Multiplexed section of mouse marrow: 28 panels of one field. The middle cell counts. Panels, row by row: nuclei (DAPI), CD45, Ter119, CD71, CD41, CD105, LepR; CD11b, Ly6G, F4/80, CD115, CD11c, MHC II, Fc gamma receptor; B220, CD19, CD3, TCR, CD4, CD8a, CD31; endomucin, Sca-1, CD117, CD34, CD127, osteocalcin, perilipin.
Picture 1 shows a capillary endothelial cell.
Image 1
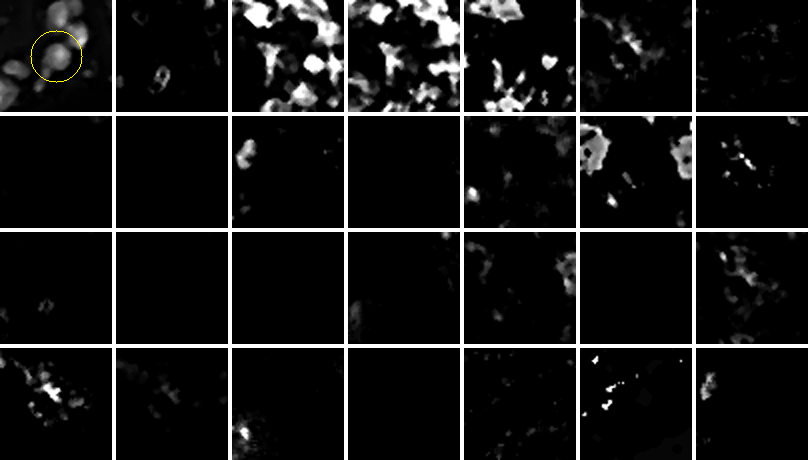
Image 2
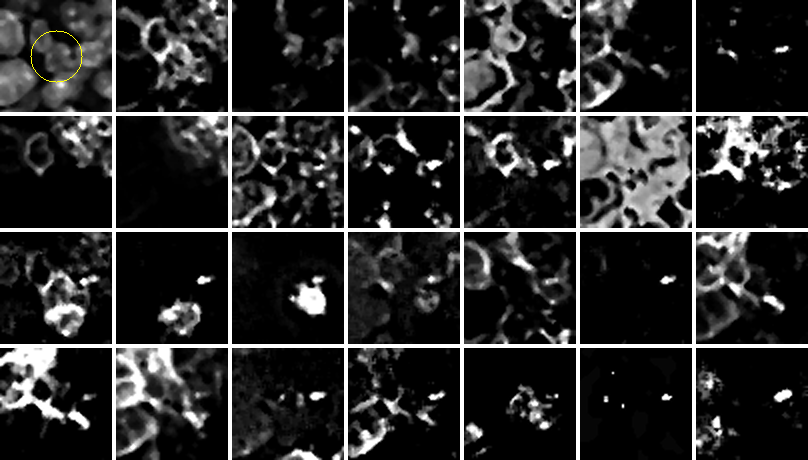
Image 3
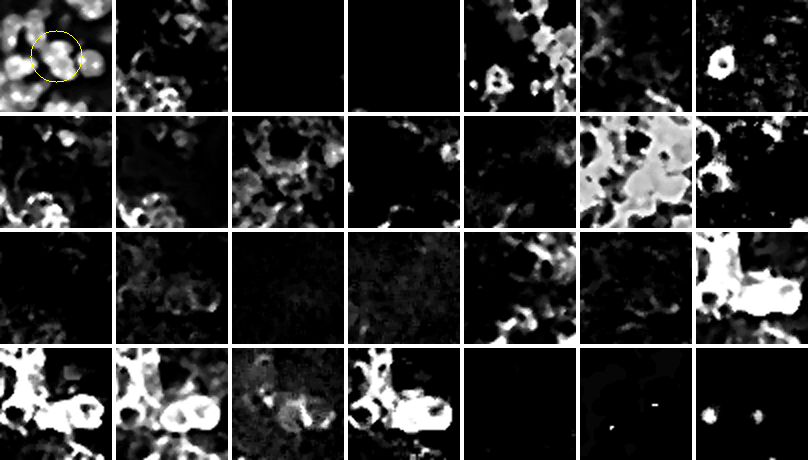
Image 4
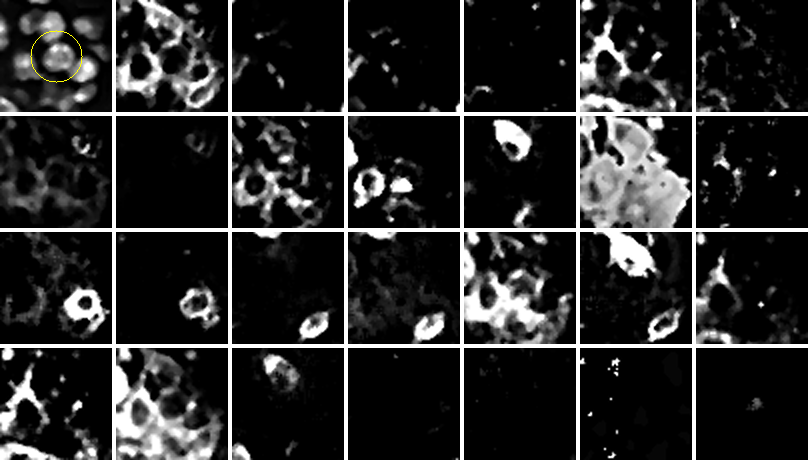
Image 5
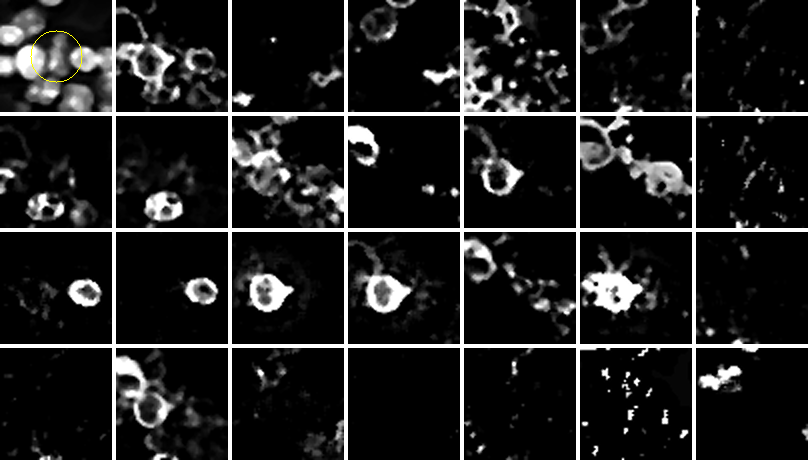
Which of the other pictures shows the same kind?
Picture 2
